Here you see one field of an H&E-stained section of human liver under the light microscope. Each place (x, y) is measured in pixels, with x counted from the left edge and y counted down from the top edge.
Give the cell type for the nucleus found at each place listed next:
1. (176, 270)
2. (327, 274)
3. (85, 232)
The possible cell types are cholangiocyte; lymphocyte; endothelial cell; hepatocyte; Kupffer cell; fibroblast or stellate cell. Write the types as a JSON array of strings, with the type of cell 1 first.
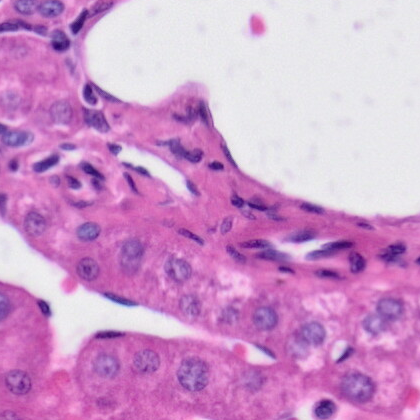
["hepatocyte", "fibroblast or stellate cell", "cholangiocyte"]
